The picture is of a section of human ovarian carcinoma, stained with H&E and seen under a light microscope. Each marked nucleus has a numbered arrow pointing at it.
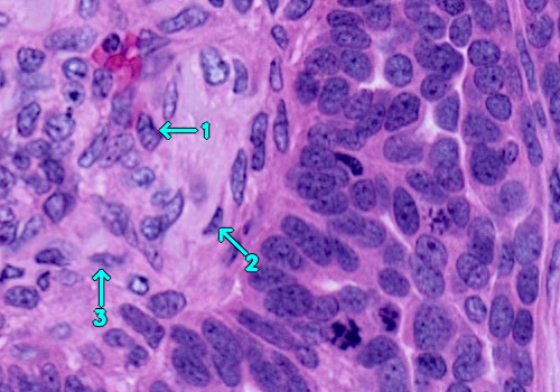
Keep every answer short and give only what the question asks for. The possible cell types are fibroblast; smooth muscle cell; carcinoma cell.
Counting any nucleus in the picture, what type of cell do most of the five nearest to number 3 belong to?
fibroblast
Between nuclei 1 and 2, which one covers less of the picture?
2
